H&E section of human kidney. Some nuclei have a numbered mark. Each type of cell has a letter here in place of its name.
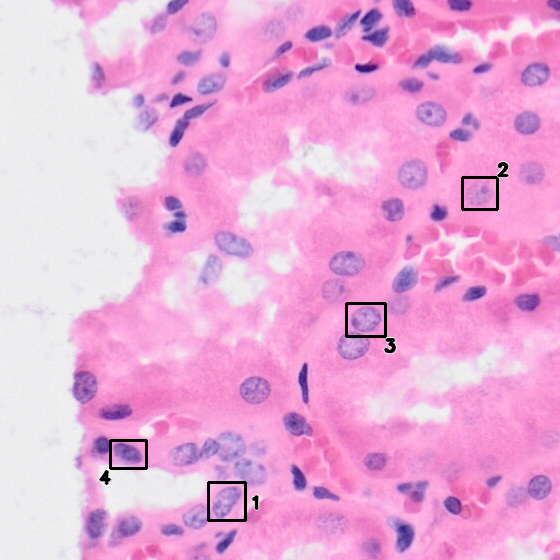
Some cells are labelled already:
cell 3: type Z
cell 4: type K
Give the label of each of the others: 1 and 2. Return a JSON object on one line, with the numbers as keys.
{"1": "type K", "2": "type Z"}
